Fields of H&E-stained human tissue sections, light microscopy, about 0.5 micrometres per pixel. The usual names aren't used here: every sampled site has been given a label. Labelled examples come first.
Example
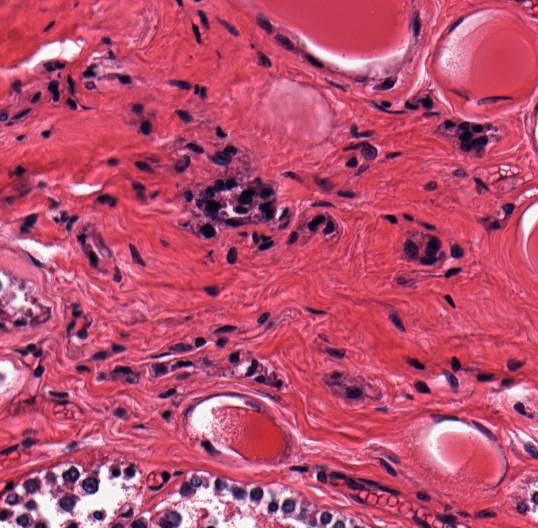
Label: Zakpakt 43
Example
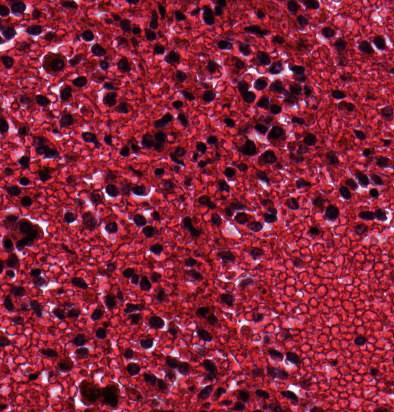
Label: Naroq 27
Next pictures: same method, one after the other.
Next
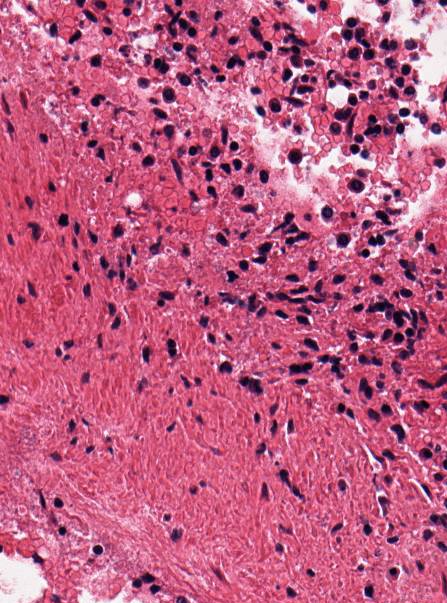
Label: Naroq 27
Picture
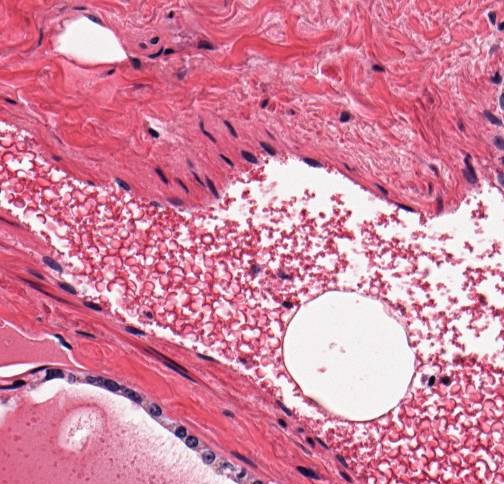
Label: Zakpakt 43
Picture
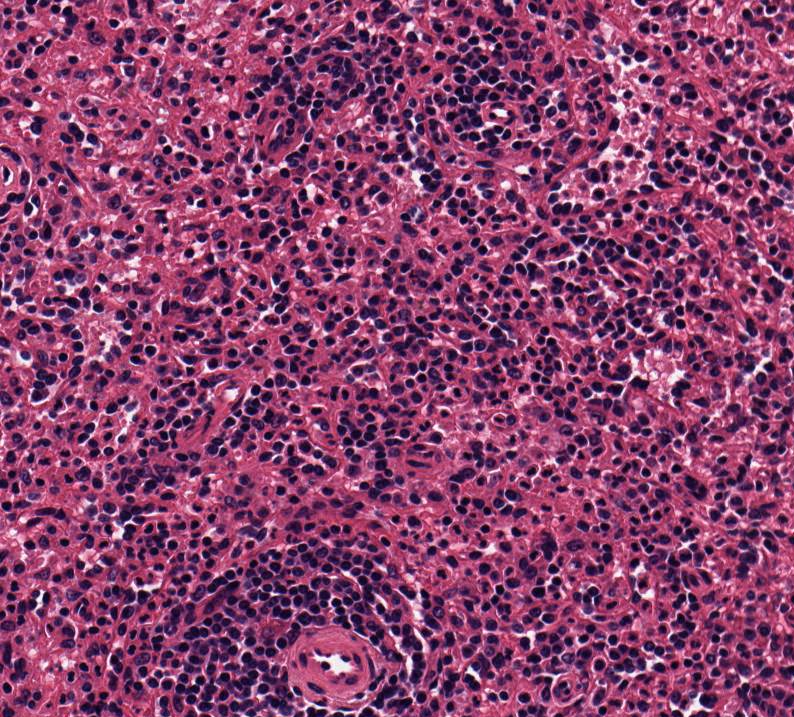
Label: Naroq 27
